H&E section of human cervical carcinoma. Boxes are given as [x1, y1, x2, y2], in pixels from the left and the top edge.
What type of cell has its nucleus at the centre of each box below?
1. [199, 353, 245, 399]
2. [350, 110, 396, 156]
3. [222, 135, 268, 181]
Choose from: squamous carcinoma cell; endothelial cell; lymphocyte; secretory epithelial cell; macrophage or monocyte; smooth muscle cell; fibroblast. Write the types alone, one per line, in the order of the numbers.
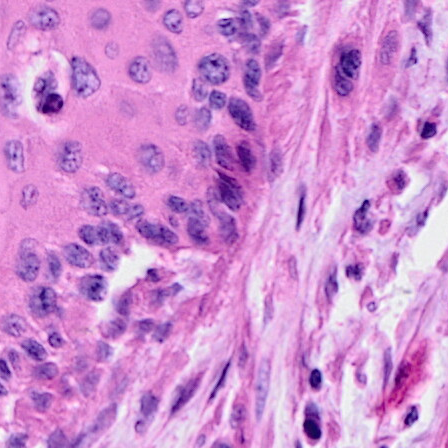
fibroblast
fibroblast
squamous carcinoma cell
